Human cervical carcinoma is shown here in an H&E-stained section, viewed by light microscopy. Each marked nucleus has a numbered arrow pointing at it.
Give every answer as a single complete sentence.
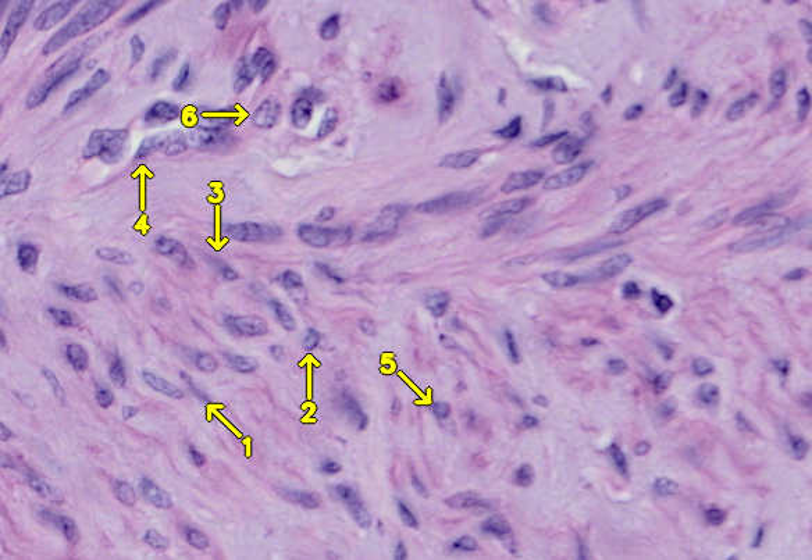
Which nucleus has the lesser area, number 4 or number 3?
Number 4 is smaller, since number 3 takes up about 2 times as much area.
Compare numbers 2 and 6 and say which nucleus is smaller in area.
Nucleus 2 covers less area, with nucleus 6 about 2 times as large.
